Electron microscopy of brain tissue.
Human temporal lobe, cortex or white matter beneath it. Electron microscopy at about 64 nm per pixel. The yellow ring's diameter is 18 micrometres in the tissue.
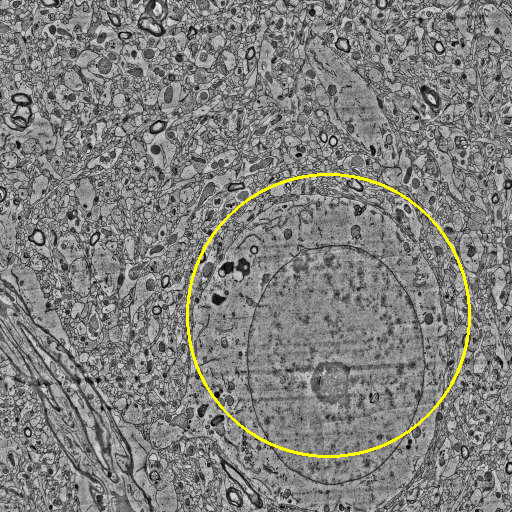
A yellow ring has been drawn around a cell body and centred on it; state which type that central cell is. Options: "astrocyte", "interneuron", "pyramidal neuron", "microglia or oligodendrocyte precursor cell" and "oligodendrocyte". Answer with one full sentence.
The cell at the middle of the yellow ring is a pyramidal neuron in this picture.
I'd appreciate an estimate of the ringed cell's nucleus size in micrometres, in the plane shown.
About 15 micrometres by about 11 micrometres in this plane.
